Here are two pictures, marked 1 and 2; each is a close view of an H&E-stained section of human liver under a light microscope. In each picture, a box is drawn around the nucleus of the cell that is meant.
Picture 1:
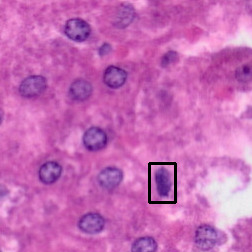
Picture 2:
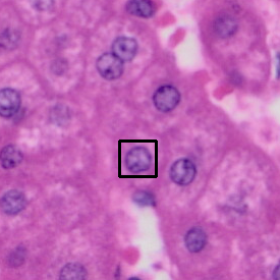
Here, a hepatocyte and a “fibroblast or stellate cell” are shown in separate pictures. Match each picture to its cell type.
1: fibroblast or stellate cell
2: hepatocyte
